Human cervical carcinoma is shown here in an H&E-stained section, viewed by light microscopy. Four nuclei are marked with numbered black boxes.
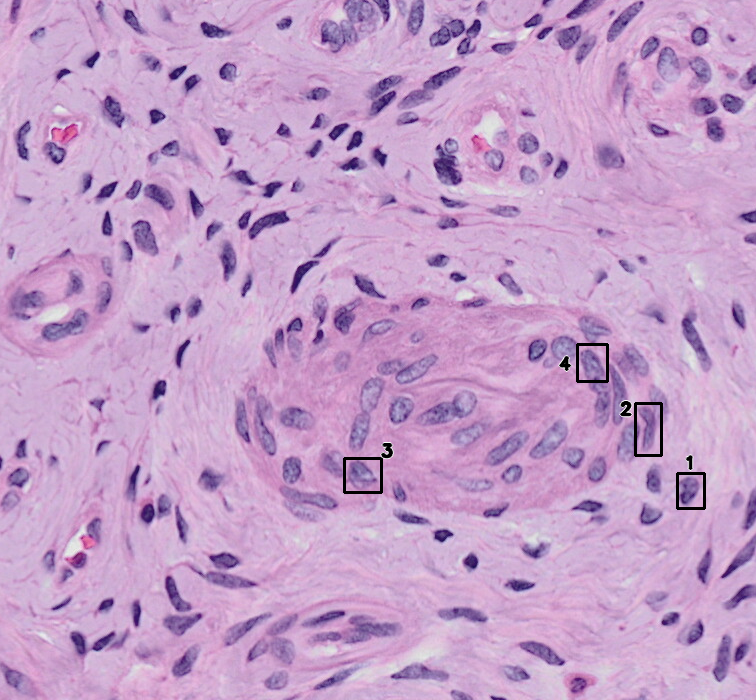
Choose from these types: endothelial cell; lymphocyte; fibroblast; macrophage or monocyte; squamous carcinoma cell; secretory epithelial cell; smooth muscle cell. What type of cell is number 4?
smooth muscle cell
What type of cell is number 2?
smooth muscle cell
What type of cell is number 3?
smooth muscle cell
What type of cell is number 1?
fibroblast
